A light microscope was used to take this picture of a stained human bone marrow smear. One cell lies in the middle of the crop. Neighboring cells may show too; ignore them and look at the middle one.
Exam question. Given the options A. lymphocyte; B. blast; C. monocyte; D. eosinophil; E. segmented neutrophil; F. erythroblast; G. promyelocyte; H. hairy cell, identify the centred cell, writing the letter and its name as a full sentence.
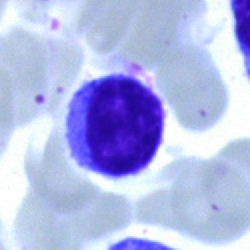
The central cell in this crop is a lymphocyte, corresponding to option A, the correct option.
